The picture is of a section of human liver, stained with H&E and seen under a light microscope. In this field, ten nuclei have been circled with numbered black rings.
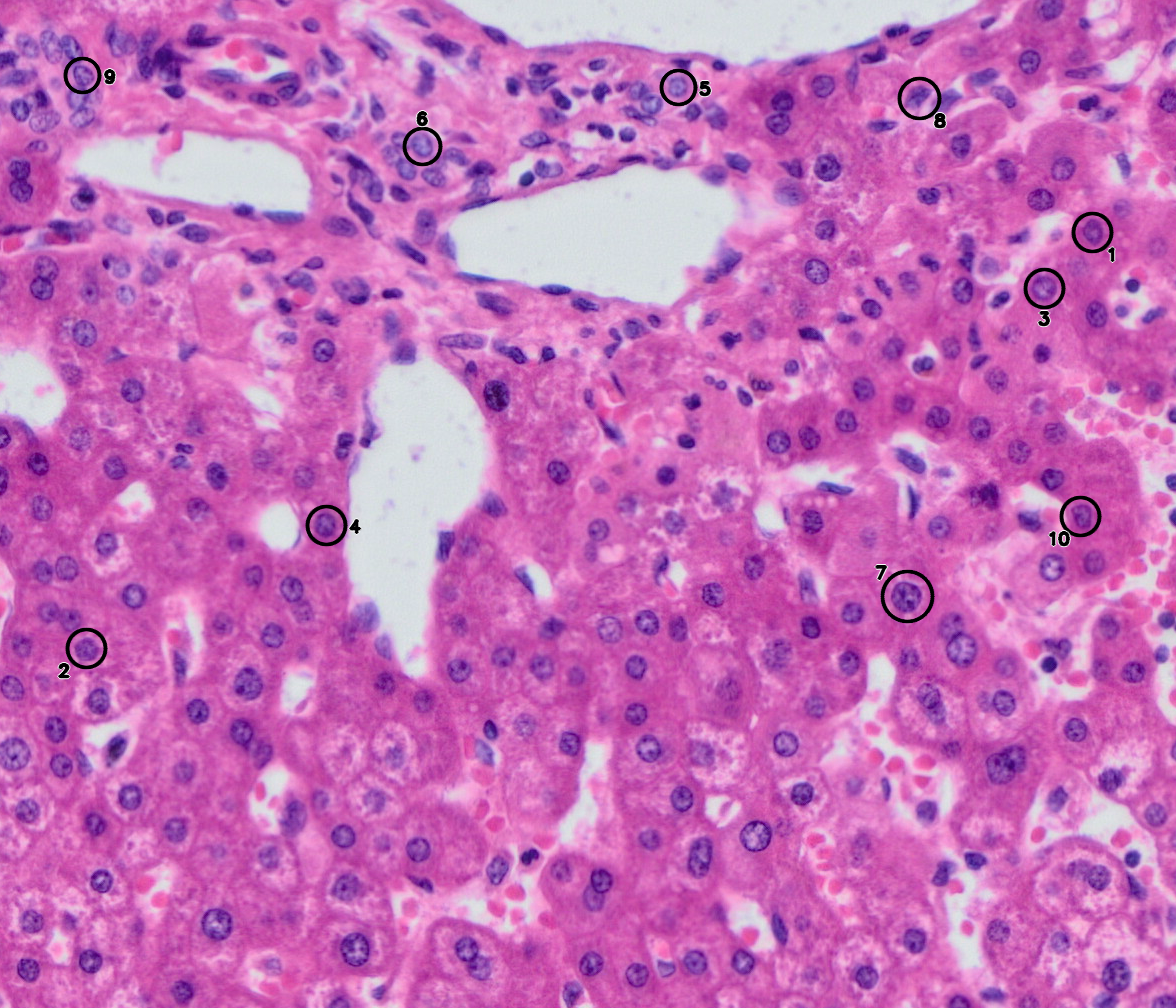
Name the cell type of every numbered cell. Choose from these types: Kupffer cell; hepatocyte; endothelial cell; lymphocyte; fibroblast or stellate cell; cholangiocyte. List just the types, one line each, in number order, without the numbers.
hepatocyte
hepatocyte
hepatocyte
hepatocyte
cholangiocyte
cholangiocyte
hepatocyte
fibroblast or stellate cell
cholangiocyte
hepatocyte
